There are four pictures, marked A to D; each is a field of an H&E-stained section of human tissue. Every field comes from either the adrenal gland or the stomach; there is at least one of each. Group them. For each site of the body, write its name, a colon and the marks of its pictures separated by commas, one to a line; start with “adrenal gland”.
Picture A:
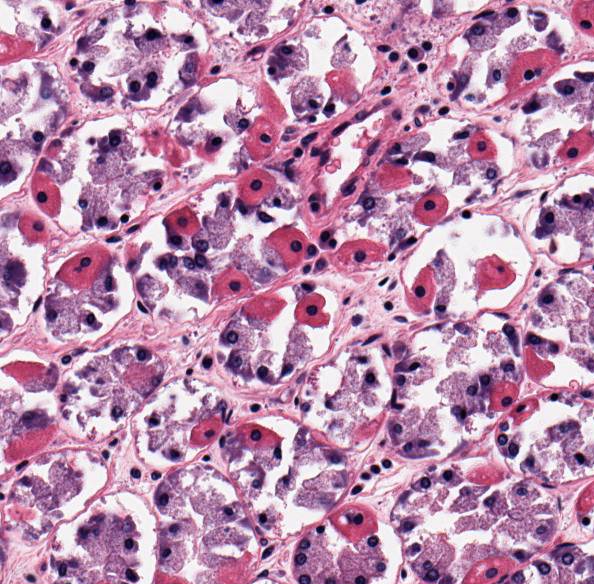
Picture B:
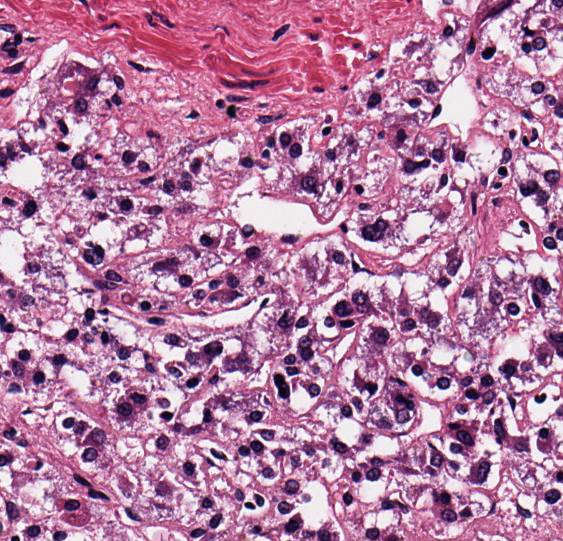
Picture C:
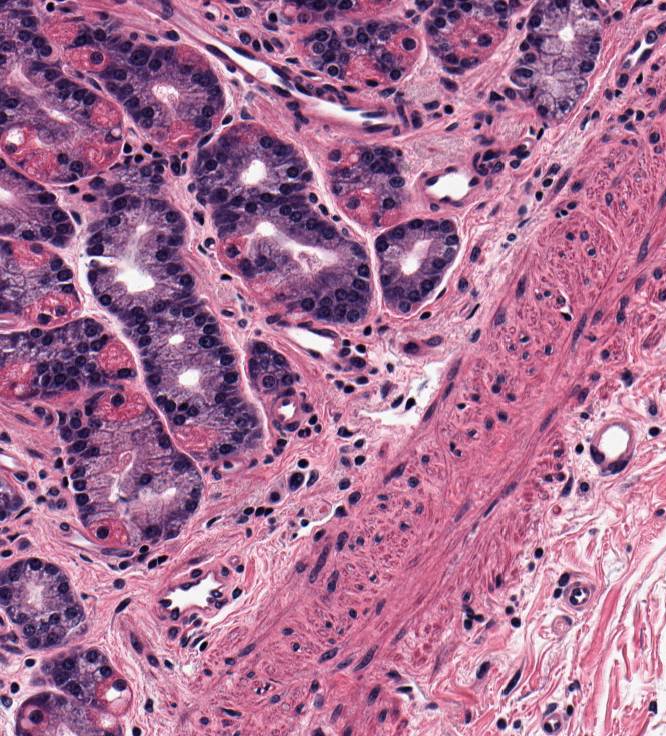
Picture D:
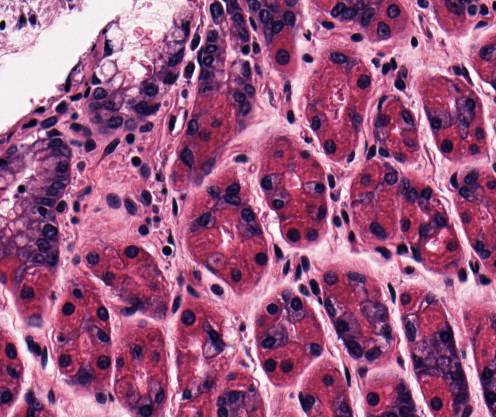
adrenal gland: B
stomach: A, C, D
